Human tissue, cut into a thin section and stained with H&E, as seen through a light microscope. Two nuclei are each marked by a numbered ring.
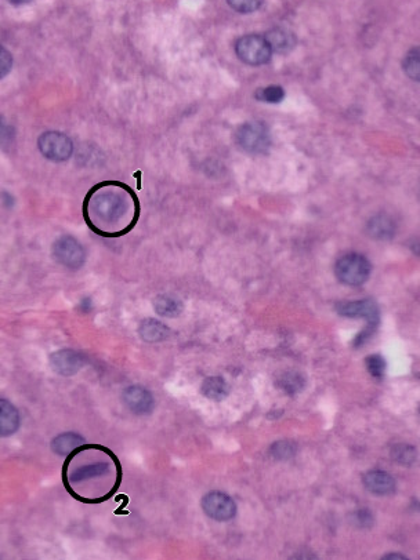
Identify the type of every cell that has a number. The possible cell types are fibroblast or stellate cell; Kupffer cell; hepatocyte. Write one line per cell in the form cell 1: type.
cell 1: hepatocyte
cell 2: fibroblast or stellate cell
